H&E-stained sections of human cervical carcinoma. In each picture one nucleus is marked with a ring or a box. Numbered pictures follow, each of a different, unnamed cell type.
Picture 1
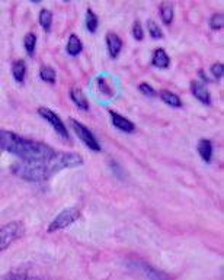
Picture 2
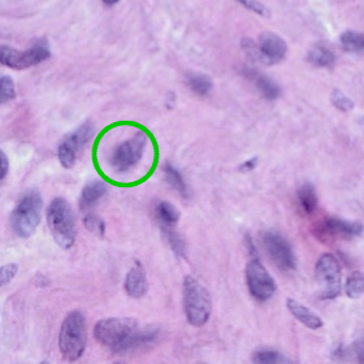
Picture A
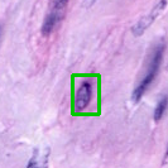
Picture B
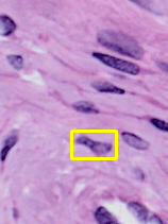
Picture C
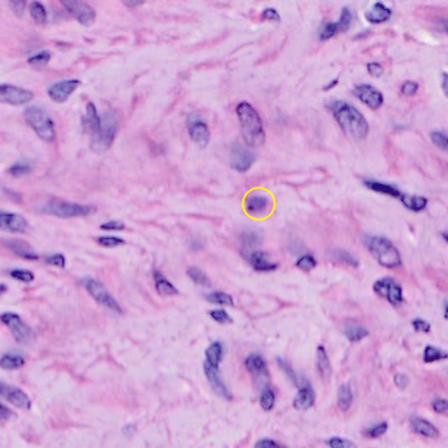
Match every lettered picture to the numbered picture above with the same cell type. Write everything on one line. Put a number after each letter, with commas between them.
A 1, B 2, C 1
